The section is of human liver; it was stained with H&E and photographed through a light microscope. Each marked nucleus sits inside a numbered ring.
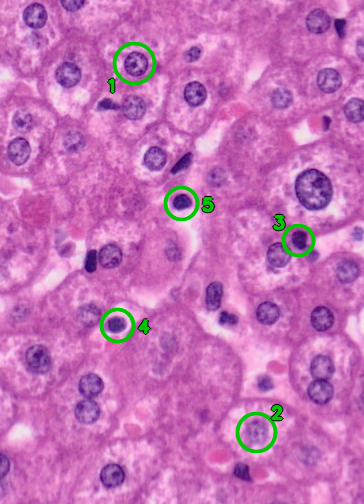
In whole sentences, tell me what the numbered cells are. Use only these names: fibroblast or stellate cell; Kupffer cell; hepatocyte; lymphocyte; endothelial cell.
Cell 1 is a hepatocyte, cell 2 is a hepatocyte, cell 3 is a fibroblast or stellate cell, cell 4 is a lymphocyte and cell 5 is a lymphocyte.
